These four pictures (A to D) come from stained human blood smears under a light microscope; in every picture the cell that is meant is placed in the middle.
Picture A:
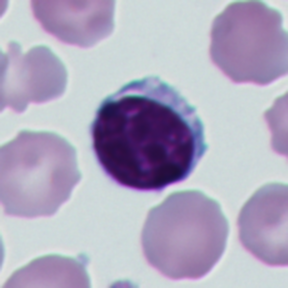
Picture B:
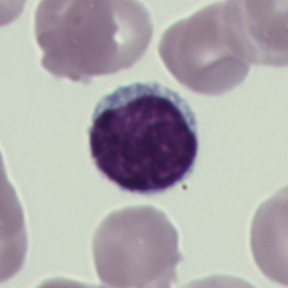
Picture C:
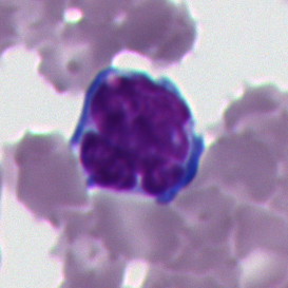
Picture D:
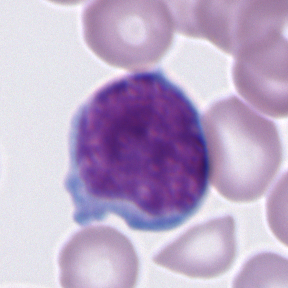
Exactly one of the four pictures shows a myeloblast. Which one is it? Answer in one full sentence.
The myeloblast is the one in picture D.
